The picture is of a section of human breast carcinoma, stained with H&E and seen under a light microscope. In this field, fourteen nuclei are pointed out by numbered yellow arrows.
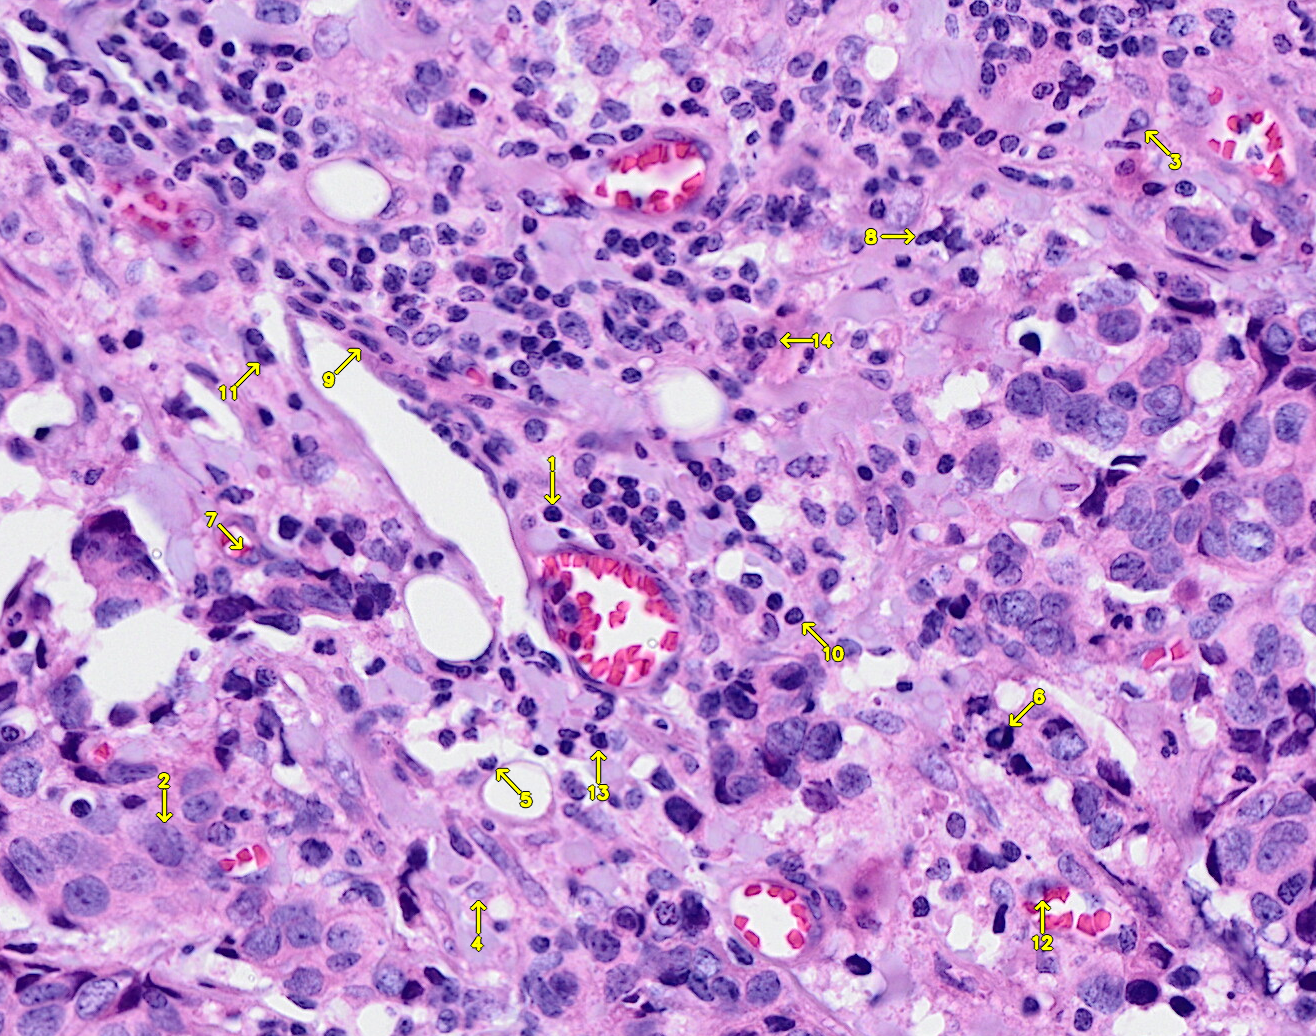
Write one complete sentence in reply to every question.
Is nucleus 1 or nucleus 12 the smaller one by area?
It is nucleus 1; nucleus 12 has about 2 times its area.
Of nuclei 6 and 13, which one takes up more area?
Number 6 is larger; its area is about 2.5 times that of number 13.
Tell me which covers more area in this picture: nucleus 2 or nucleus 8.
Nucleus 2 covers more area, about 4 times as much as nucleus 8.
